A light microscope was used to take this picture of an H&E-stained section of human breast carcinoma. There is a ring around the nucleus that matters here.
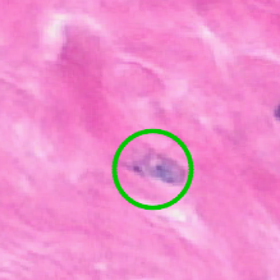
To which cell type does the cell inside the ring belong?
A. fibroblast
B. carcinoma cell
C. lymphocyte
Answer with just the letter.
A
